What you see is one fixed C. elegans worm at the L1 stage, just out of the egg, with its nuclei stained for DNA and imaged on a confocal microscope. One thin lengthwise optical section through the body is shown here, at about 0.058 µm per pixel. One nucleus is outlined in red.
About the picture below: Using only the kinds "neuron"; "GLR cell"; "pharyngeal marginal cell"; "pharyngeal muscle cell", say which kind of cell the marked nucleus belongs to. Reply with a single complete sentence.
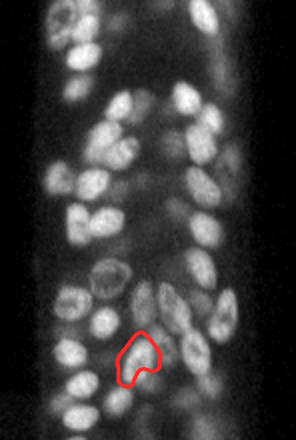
The marked cell is a pharyngeal muscle cell.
